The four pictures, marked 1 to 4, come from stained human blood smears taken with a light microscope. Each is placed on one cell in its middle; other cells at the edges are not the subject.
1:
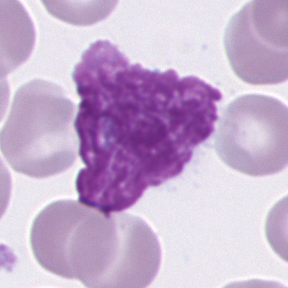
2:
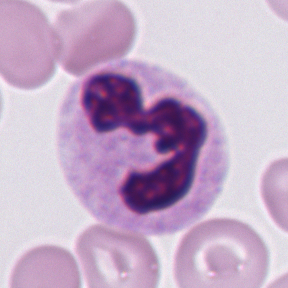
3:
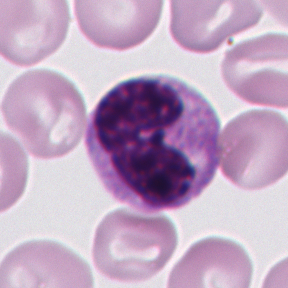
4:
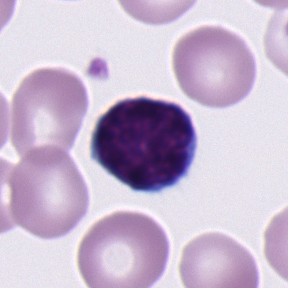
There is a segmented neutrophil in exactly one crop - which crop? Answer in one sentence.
Crop 2 is identified as the crop showing a segmented neutrophil.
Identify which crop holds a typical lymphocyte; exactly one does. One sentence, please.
The crop that shows a typical lymphocyte is crop 4.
